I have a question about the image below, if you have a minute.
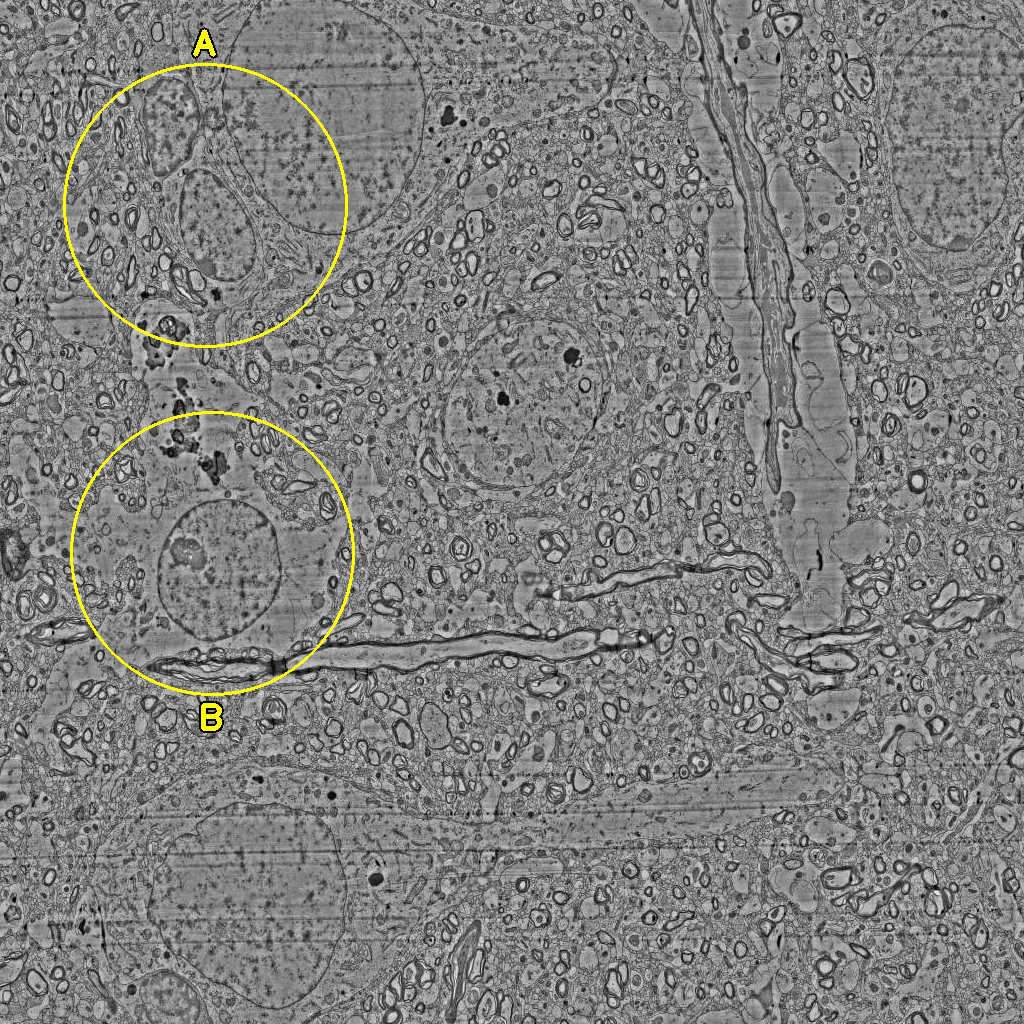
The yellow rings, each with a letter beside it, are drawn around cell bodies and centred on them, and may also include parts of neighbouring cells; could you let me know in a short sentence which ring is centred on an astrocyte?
Ring B is centred on it.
